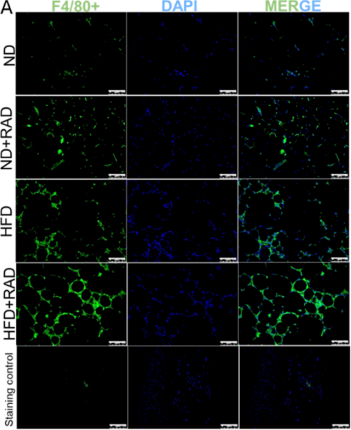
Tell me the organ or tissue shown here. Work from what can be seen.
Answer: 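Adipose tissue. In several rows, green outlines ring large rounded empty spaces.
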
